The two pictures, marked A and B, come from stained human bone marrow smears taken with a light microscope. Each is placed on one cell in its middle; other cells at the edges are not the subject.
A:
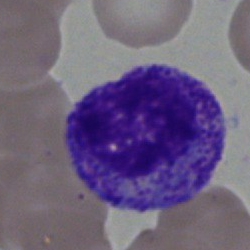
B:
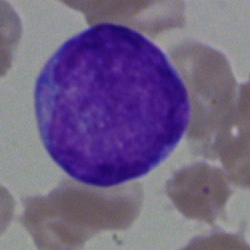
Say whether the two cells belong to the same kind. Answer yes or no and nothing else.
no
